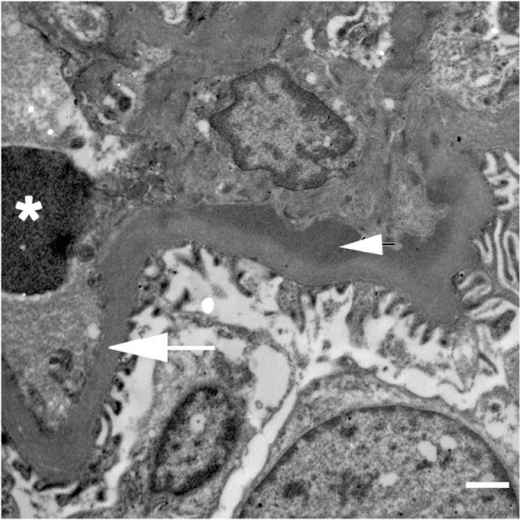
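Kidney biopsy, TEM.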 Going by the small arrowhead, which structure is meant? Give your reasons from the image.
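Electron dense deposits. The arrowhead points into a broad grey band of basement membrane. Darker, denser patches lie within that band where it is pointed at.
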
